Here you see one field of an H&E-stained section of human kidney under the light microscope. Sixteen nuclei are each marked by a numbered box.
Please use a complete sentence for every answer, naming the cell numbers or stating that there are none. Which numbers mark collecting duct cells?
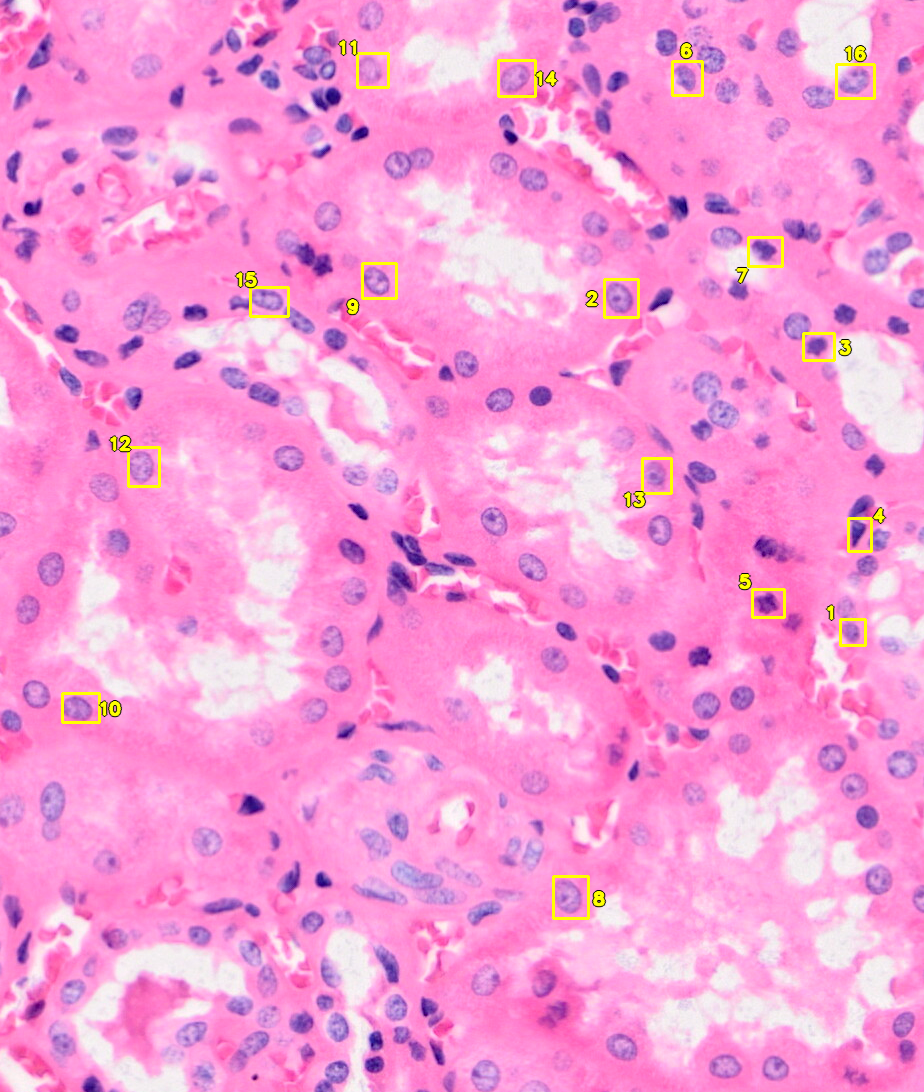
Into the category of collecting duct cells fall the cells numbered 1 and 15.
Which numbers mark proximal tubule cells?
Each of the cells numbered 2, 5, 8, 9, 10, 11, 12, 13 and 14 is among the proximal tubule cells.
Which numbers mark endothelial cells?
Cell 4 is an endothelial cell, while every other numbered cell is not.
